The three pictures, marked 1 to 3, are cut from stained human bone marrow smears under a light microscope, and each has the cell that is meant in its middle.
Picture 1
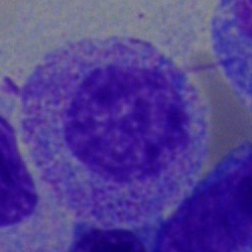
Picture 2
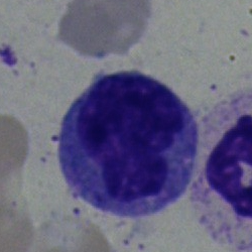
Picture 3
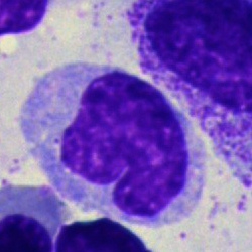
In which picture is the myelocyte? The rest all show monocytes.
1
